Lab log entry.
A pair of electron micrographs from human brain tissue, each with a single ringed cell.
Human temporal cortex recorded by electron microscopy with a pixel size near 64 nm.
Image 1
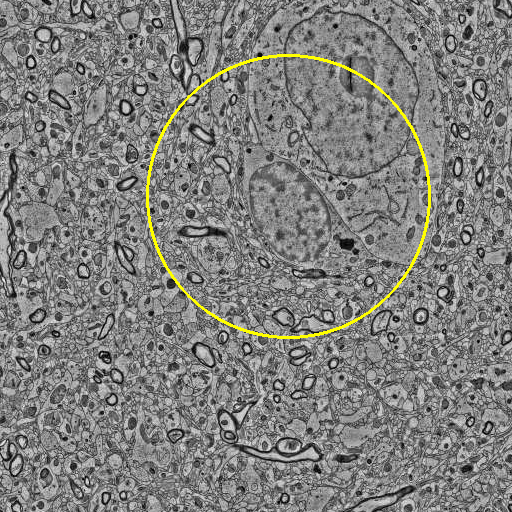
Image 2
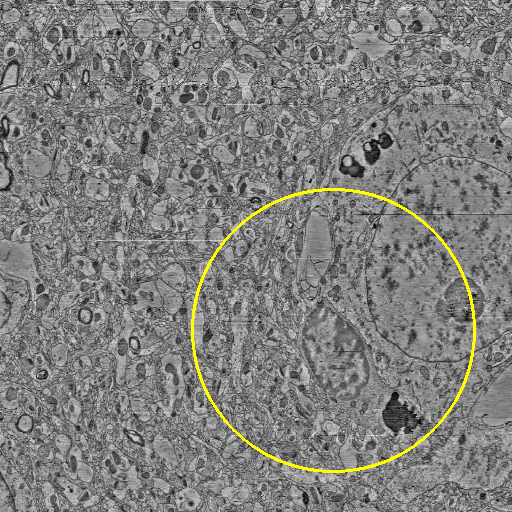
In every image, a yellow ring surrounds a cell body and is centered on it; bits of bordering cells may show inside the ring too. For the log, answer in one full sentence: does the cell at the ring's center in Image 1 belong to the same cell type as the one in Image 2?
Yes, the cells at the ring centers in Image 1 and Image 2 share one type.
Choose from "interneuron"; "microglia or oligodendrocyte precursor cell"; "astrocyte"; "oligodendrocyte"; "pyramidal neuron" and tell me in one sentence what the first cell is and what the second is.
In each of the two pictures, the ringed cell is an oligodendrocyte.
